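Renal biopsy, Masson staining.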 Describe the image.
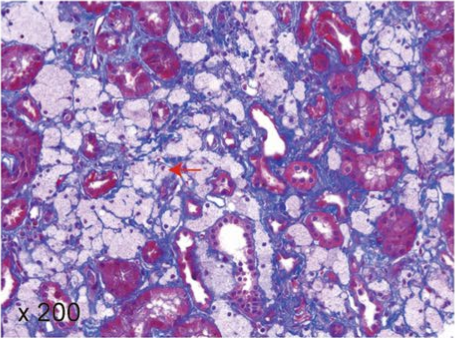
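This section of kidney shows the interstitium crowded with large foamy cells that have pale, finely bubbly cytoplasm. The foamy cells lie packed in sheets between the tubules. The tubules stand out by their red-stained epithelium around small lumina. Thin blue-stained fibres run between the cells. Some tubules are small and appear compressed by the surrounding pale cells.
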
